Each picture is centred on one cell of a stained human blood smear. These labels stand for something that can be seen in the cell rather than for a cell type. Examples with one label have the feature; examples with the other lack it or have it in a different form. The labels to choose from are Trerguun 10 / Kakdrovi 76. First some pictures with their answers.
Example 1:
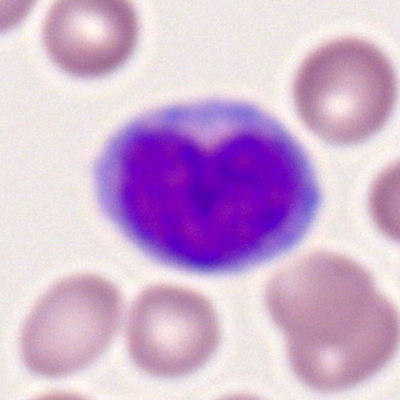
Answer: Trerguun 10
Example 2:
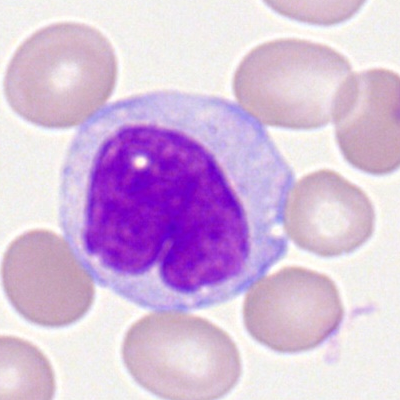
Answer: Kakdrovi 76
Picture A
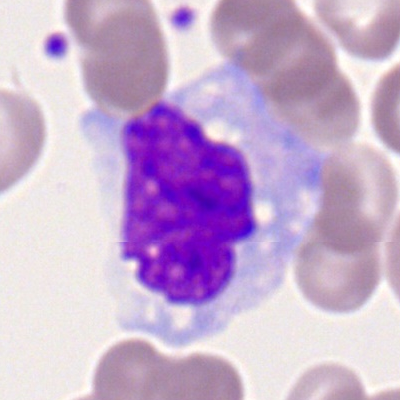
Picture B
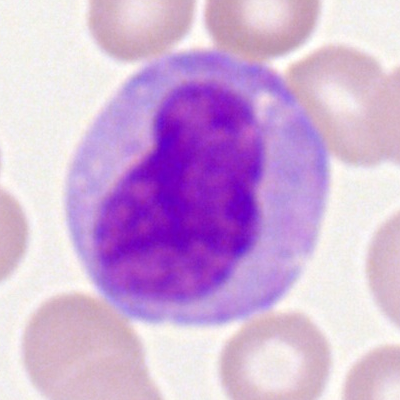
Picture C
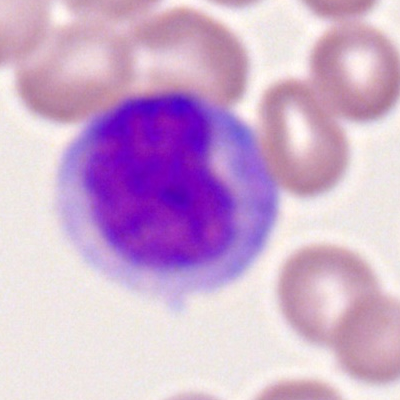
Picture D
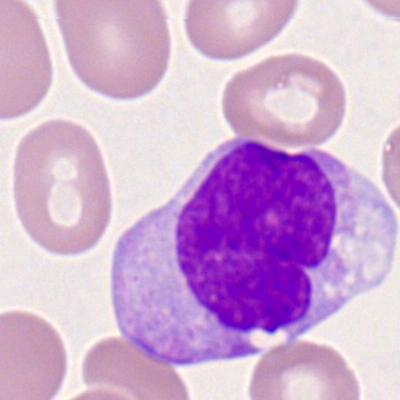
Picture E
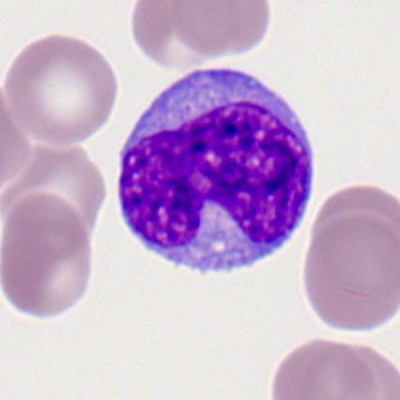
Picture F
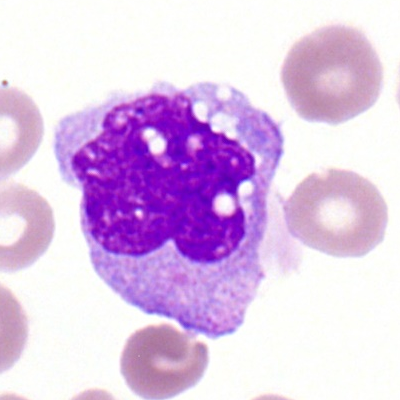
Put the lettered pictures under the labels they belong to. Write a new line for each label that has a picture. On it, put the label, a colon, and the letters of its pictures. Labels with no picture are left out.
Trerguun 10: C, E
Kakdrovi 76: A, B, D, F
